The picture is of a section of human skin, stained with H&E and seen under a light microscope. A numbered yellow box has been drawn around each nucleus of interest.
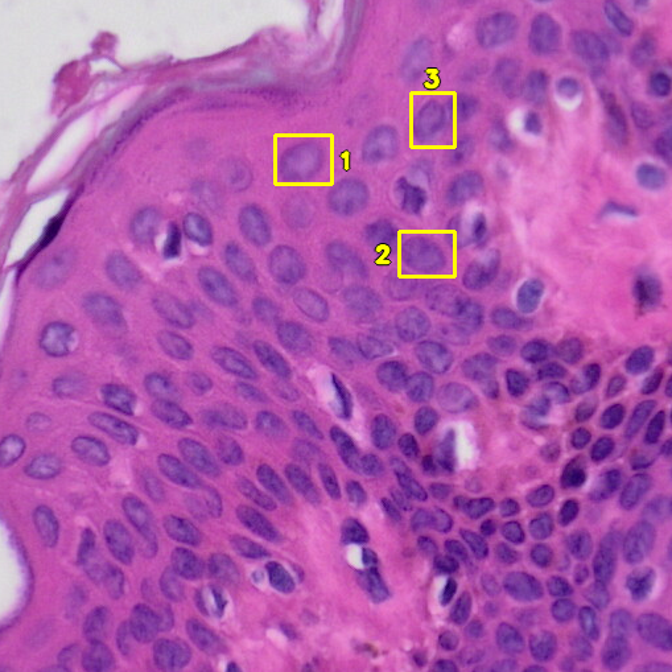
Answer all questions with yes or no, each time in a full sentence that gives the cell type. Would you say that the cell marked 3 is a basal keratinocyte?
No, the cell at number 3 is a suprabasal keratinocyte instead of a basal keratinocyte.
